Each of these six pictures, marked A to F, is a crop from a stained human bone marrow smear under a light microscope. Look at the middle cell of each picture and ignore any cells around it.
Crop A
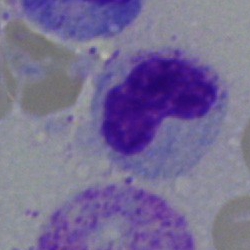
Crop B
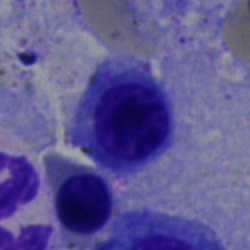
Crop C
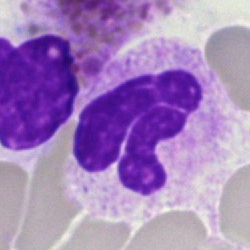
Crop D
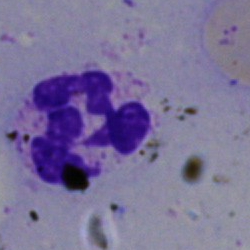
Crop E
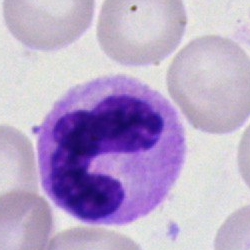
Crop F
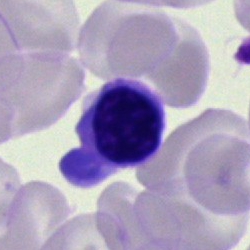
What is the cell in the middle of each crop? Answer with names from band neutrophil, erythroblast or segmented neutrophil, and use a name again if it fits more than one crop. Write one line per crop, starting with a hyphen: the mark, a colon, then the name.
- A: band neutrophil
- B: erythroblast
- C: segmented neutrophil
- D: segmented neutrophil
- E: band neutrophil
- F: erythroblast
